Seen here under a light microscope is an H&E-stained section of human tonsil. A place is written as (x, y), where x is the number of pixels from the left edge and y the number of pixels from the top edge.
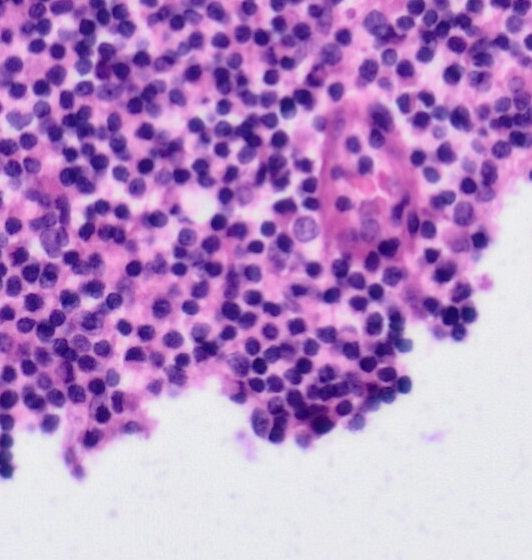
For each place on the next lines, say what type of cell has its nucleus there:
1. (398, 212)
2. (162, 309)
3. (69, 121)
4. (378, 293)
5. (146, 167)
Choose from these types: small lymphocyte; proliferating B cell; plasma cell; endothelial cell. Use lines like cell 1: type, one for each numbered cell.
cell 1: endothelial cell
cell 2: plasma cell
cell 3: small lymphocyte
cell 4: small lymphocyte
cell 5: small lymphocyte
